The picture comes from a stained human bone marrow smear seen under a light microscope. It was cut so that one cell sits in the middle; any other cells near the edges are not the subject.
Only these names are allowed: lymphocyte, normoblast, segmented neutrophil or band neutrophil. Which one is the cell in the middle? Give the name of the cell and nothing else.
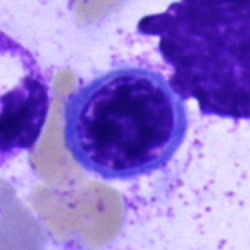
normoblast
